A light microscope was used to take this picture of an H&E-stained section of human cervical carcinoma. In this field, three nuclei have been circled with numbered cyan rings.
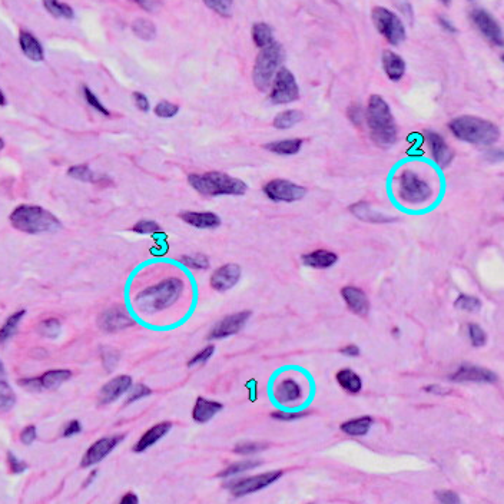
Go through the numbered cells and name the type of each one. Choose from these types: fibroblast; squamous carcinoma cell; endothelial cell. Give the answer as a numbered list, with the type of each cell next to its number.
1. fibroblast
2. fibroblast
3. endothelial cell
